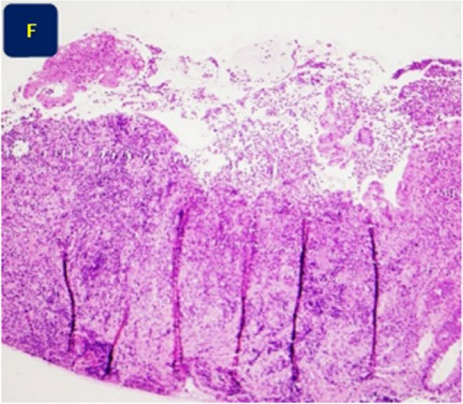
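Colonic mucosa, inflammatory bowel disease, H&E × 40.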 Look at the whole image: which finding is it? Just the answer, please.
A: Erosions and ulcerations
